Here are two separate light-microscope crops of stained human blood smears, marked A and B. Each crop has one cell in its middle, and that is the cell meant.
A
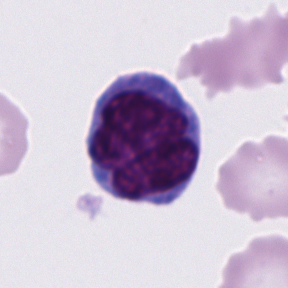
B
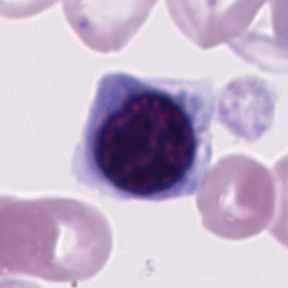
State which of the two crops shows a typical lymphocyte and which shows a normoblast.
A: typical lymphocyte
B: normoblast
